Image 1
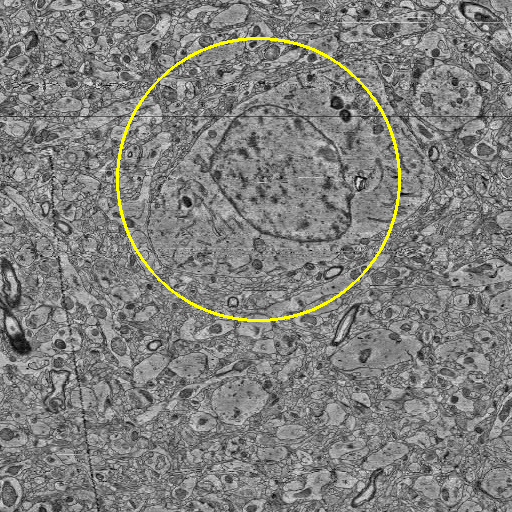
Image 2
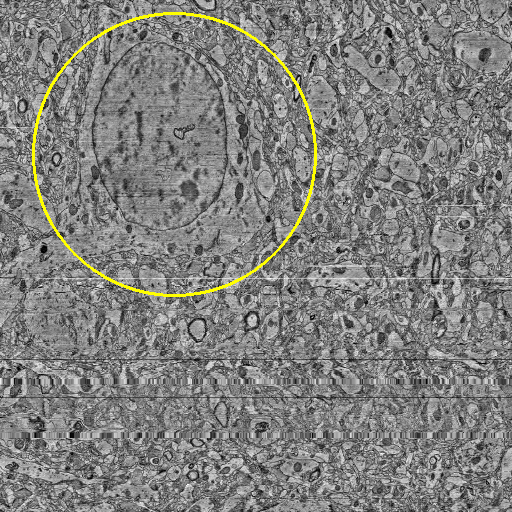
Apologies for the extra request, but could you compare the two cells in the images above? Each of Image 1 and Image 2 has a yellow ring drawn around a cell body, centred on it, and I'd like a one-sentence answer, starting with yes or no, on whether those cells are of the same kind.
Yes, both cells are of the same kind.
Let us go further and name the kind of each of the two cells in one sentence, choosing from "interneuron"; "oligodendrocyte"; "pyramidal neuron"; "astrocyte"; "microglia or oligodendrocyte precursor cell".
Both pictures show a pyramidal neuron at the centre of the ring.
